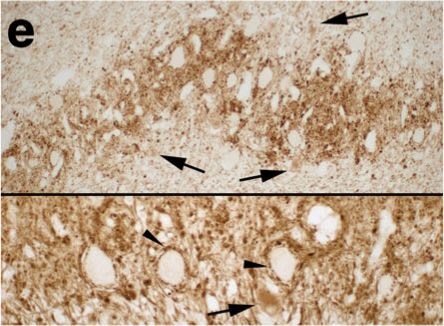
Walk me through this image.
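A broad band of dense, granular brown staining fills the neuropil, and within it many large round to oval cell bodies stand out as pale, unstained holes. A few smaller cell bodies take up a light brown stain themselves. Outside the band, the tissue is lighter, with scattered brown fibres running through it.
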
